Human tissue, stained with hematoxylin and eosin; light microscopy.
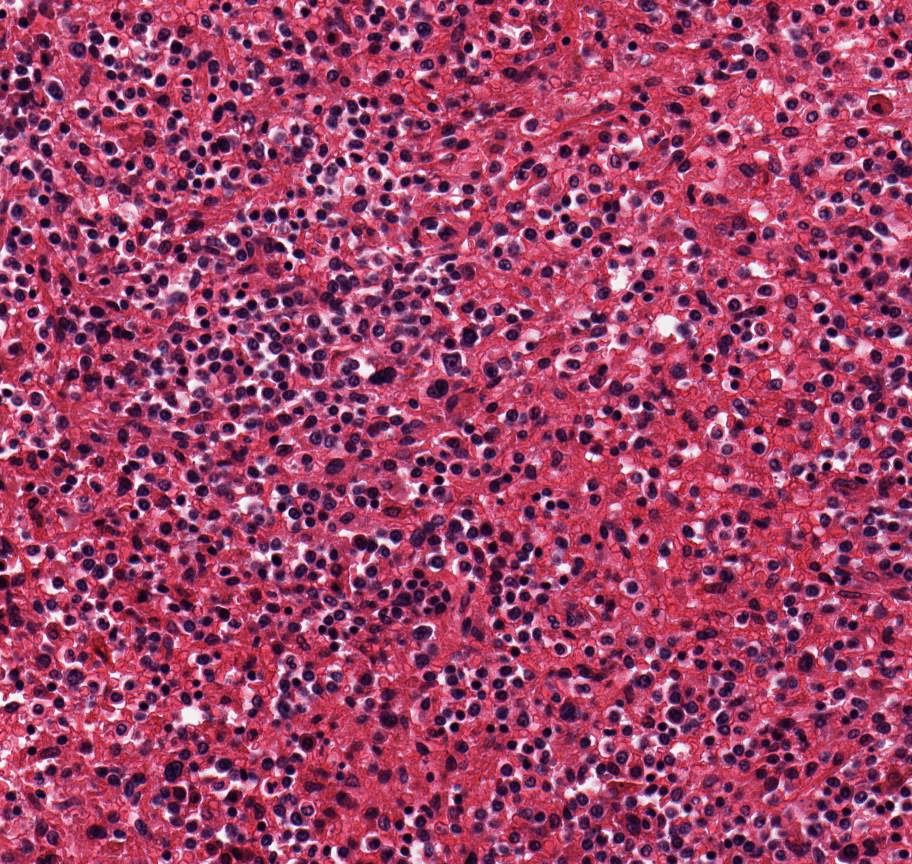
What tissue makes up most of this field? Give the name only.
red pulp of the spleen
